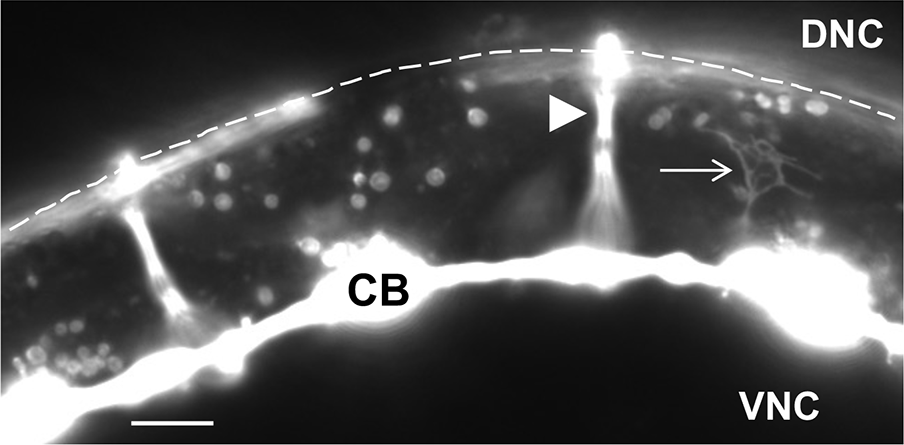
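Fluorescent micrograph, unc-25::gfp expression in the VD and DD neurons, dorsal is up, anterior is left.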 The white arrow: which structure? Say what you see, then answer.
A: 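The arrow points to a fine, branched, web-like tip of a thin process. The branched tip lies partway between the bright lower cord and the dorsal cord, not yet joined to it. The answer: growth cone.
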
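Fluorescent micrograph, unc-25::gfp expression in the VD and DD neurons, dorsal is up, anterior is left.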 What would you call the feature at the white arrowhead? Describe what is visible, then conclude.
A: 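Commissural axon. The arrowhead lies beside a bright fibre that runs straight across the body. The fibre runs from the bright lower cord up to the dorsal cord, where it widens into a bright swelling.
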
